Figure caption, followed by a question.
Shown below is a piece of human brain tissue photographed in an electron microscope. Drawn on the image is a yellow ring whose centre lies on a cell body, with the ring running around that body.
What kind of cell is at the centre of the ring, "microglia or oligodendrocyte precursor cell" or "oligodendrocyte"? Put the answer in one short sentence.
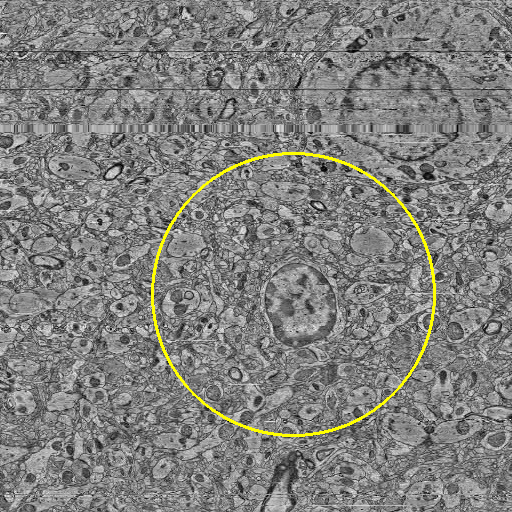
The ring marks the cell body of a microglial cell or oligodendrocyte precursor cell.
